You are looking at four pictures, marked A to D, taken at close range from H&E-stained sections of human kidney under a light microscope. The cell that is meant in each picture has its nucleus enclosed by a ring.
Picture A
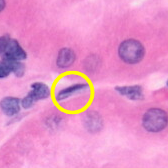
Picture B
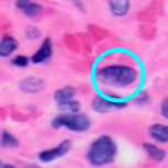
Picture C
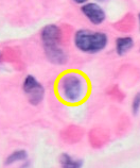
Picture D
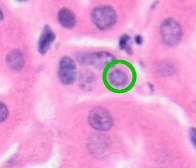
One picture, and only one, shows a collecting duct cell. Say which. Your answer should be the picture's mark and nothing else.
D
